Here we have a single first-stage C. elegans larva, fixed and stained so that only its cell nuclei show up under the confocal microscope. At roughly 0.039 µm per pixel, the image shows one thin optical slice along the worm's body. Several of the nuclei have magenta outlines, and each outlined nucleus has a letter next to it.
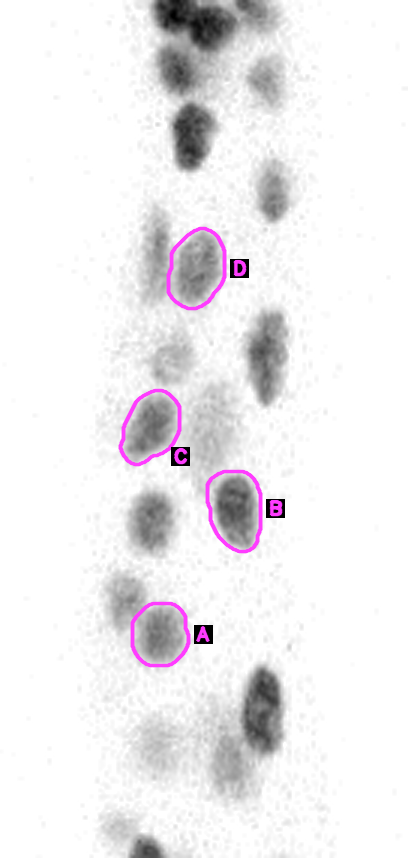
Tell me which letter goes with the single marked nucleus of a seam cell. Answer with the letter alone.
D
